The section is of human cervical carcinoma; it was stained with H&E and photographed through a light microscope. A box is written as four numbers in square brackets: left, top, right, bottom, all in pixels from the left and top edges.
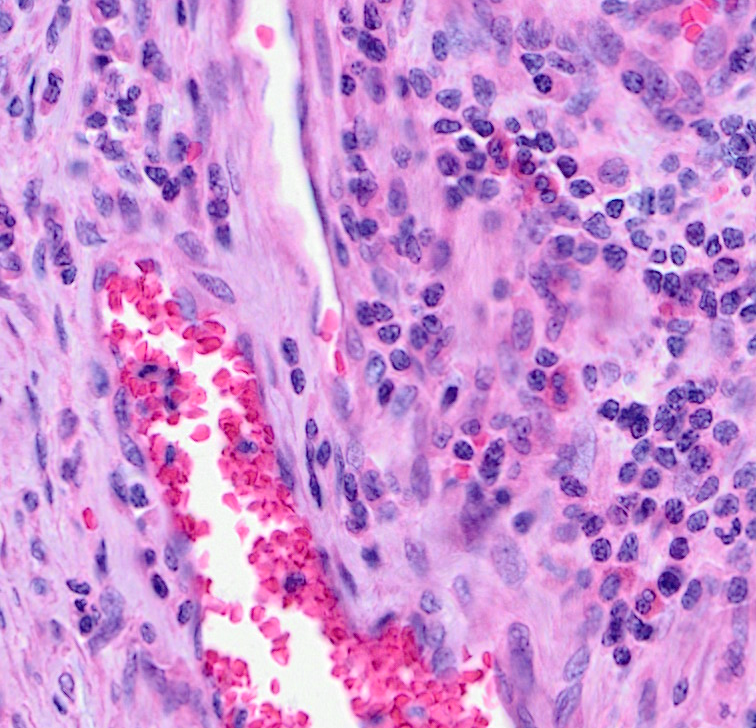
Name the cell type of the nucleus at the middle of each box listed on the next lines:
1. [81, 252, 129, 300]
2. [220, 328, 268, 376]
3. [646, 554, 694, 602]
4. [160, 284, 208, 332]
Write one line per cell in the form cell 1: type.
cell 1: endothelial cell
cell 2: endothelial cell
cell 3: lymphocyte
cell 4: endothelial cell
